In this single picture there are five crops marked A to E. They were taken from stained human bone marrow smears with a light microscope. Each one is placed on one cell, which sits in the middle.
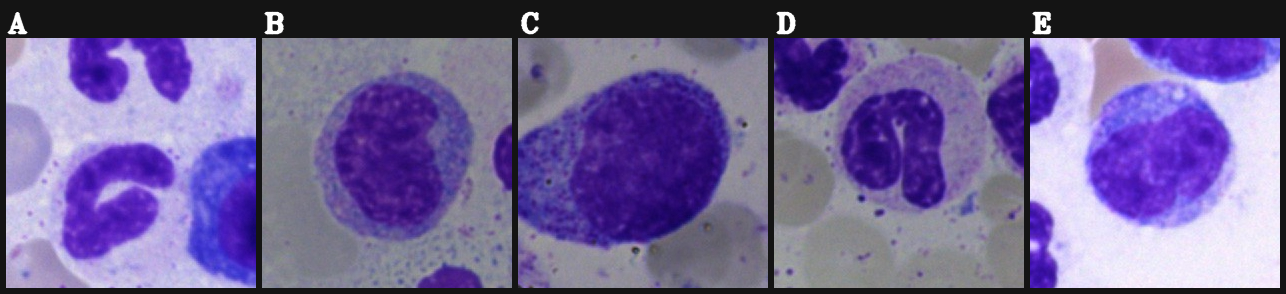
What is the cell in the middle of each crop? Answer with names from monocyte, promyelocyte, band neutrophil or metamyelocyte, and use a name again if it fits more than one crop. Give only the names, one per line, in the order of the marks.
band neutrophil
monocyte
promyelocyte
band neutrophil
monocyte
